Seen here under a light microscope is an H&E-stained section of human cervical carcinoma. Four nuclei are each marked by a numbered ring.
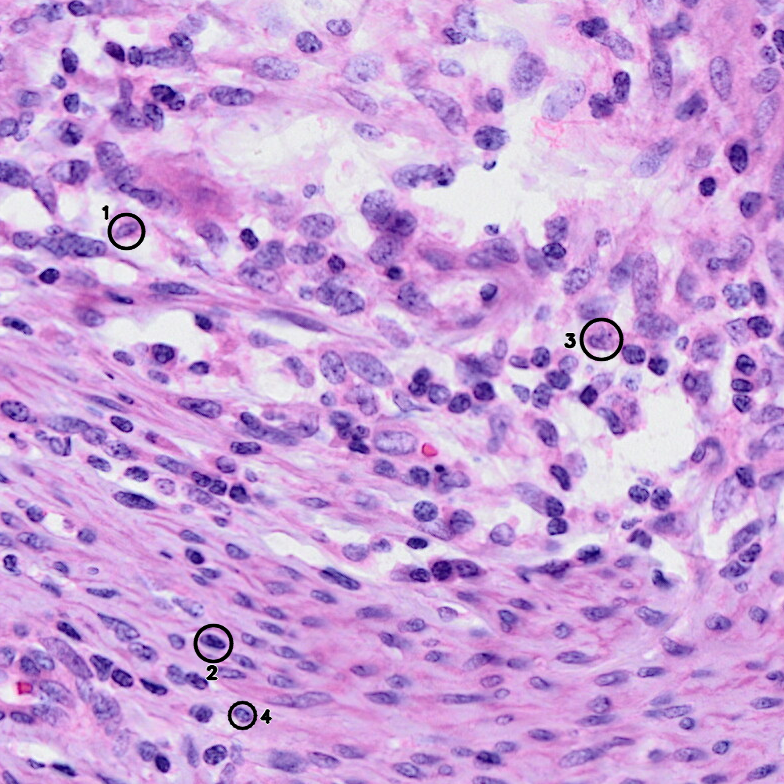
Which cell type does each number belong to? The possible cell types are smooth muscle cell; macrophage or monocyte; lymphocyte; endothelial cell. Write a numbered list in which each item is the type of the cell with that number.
1. macrophage or monocyte
2. lymphocyte
3. macrophage or monocyte
4. smooth muscle cell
